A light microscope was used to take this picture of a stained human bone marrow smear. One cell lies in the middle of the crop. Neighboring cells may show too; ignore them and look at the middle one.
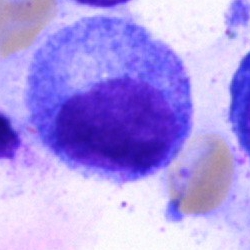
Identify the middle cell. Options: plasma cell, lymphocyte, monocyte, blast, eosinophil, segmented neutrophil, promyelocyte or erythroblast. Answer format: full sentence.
The middle of this crop is occupied by a promyelocyte.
